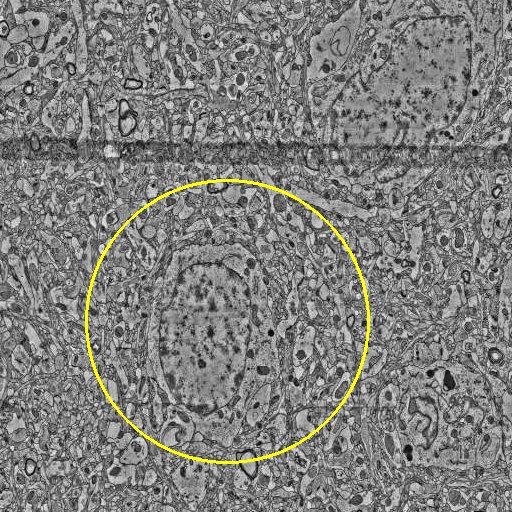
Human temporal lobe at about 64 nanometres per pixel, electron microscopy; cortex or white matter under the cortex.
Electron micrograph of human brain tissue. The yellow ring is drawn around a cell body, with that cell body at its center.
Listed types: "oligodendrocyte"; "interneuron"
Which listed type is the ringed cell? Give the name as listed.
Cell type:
interneuron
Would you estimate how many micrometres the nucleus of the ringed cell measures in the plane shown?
Approximately 10 x 6 micrometres in this plane.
